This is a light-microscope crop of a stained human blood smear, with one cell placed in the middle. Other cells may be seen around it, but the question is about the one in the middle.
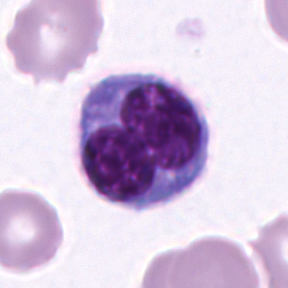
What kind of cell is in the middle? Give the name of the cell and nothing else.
plasma cell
